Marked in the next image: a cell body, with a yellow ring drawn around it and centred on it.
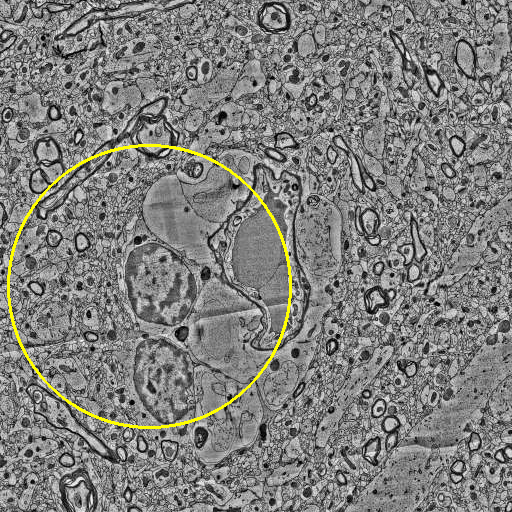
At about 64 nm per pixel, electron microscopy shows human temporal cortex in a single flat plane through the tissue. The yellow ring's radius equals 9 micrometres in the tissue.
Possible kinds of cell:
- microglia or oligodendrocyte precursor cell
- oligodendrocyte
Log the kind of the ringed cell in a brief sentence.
The ringed cell body is that of a microglial cell or oligodendrocyte precursor cell.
